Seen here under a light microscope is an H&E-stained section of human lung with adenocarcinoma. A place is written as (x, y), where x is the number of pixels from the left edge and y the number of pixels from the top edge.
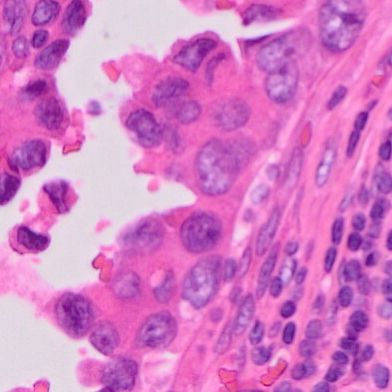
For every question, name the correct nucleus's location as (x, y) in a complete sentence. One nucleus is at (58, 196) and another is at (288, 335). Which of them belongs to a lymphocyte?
The nucleus at (288, 335) is attributed to a lymphocyte, unlike the other nucleus.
